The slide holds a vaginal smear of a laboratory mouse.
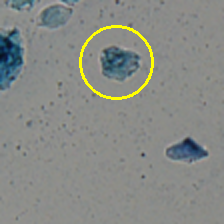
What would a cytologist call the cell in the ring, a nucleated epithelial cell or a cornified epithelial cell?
A cytologist would call it a cornified epithelial cell.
